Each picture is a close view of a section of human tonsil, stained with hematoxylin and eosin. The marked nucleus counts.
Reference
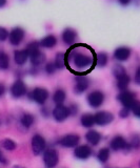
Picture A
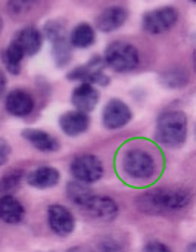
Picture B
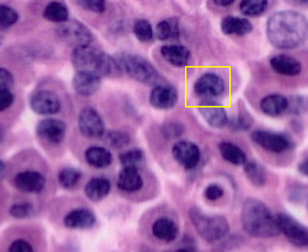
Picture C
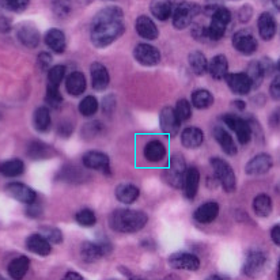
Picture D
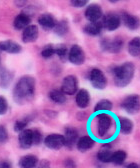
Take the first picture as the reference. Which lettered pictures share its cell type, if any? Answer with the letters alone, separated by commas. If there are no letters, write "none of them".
D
